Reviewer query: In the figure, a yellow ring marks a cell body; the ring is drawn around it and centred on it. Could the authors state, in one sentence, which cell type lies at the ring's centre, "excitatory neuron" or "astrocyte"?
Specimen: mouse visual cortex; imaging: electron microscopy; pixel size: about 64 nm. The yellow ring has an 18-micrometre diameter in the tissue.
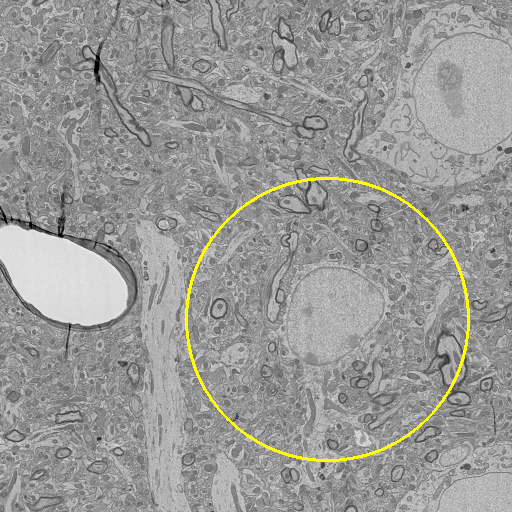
The ring is centred on an astrocyte.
